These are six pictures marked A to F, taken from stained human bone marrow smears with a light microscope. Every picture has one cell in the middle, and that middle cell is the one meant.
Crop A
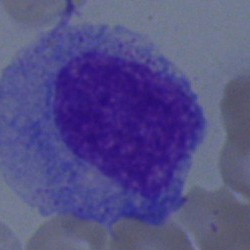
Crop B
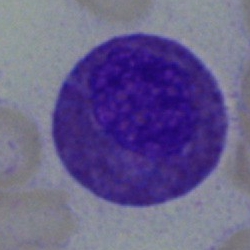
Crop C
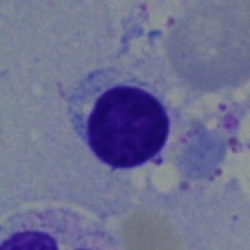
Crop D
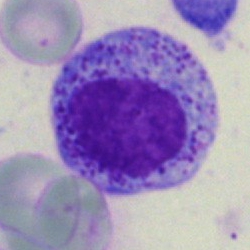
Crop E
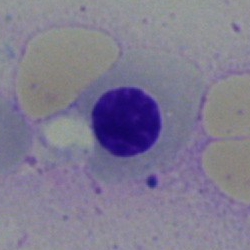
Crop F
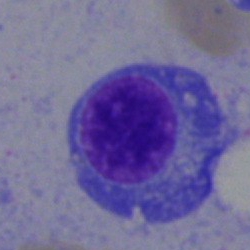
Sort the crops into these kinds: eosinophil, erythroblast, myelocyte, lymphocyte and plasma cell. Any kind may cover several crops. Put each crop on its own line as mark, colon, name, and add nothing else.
A: myelocyte
B: eosinophil
C: lymphocyte
D: myelocyte
E: erythroblast
F: plasma cell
